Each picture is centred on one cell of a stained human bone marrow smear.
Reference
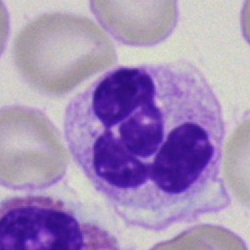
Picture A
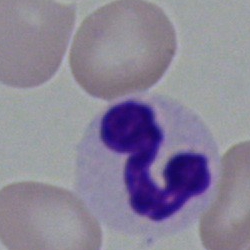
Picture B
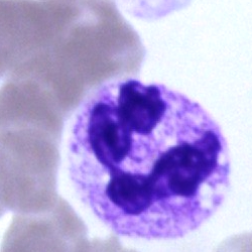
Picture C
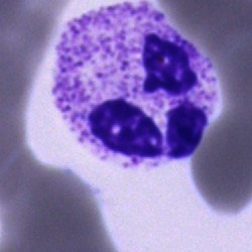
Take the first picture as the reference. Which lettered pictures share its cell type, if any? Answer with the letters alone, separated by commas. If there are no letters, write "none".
A, B, C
